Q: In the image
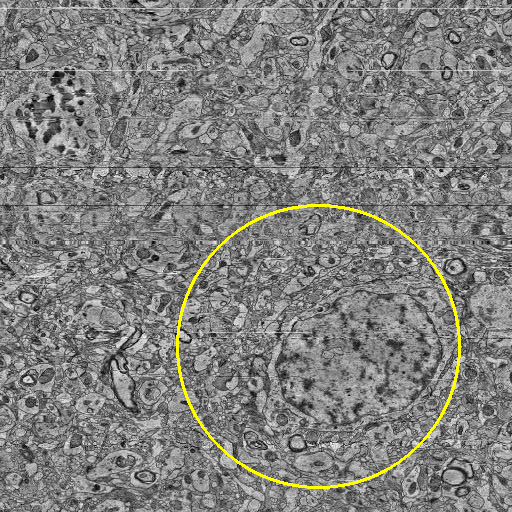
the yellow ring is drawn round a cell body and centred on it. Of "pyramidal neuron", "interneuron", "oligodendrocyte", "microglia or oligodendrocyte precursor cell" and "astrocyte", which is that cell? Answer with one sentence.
The cell centred in the ring is an interneuron.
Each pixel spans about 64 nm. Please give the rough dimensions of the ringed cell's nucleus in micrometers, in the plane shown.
In this plane, the nucleus is roughly 11 by 8 micrometres.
